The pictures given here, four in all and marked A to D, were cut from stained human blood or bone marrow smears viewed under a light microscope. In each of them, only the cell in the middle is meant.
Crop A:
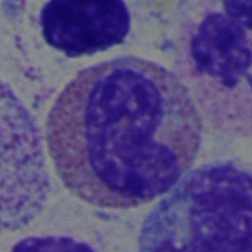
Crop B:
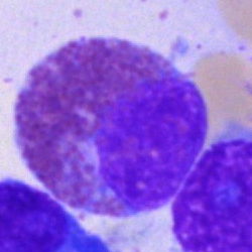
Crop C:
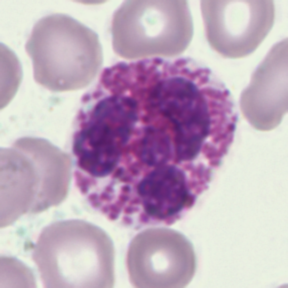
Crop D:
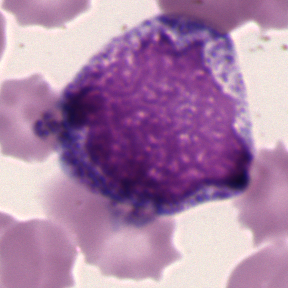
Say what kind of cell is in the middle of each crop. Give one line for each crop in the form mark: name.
A: eosinophil
B: eosinophil
C: eosinophil
D: promyelocyte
